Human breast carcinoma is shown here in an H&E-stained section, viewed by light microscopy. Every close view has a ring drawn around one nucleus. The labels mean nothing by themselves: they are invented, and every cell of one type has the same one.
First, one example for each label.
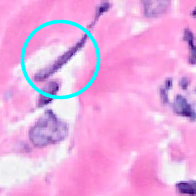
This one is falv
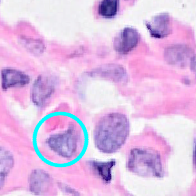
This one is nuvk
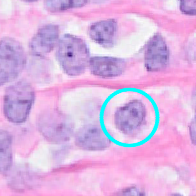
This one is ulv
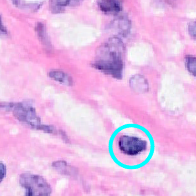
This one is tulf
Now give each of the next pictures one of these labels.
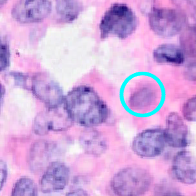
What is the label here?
ulv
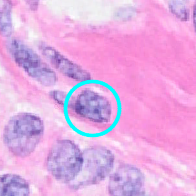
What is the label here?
nuvk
